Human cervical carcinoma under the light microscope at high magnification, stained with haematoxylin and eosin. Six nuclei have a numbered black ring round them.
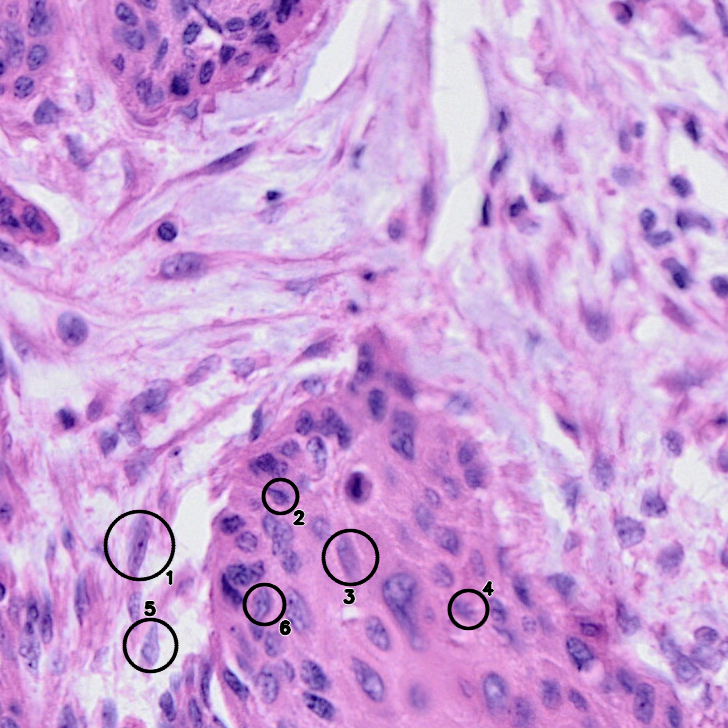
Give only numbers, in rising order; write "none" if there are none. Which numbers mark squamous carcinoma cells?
2, 3, 4, 6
